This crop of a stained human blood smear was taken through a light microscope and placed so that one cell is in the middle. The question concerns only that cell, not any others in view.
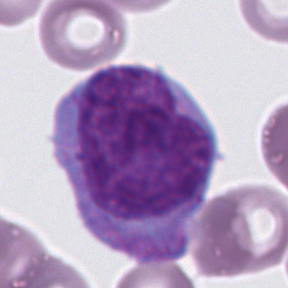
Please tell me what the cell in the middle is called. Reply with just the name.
atypical promyelocyte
